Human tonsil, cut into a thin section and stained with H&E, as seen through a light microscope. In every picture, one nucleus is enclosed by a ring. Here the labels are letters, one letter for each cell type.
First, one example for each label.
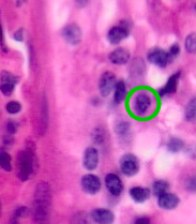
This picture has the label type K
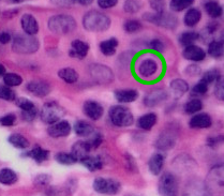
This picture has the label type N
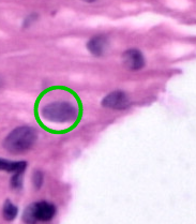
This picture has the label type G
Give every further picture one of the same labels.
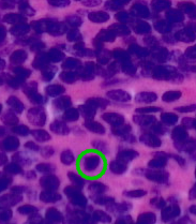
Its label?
type N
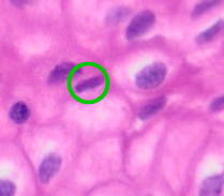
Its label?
type G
